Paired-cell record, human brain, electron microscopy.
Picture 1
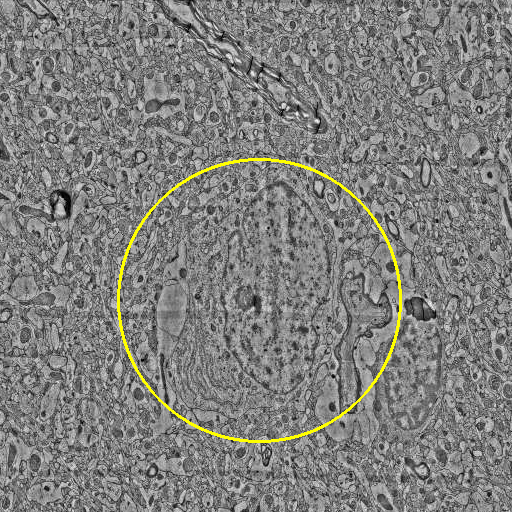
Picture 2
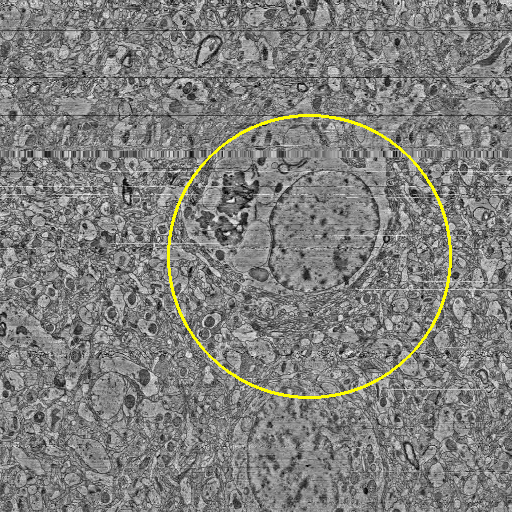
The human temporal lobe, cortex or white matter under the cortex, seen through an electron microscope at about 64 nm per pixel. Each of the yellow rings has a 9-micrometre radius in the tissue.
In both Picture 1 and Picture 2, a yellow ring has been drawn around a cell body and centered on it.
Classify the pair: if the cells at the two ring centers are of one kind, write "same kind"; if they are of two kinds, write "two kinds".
two kinds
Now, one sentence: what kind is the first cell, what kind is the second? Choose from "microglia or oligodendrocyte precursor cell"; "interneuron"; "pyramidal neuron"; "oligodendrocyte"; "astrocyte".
The first picture has an interneuron at its ring centre, and the second has an astrocyte.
